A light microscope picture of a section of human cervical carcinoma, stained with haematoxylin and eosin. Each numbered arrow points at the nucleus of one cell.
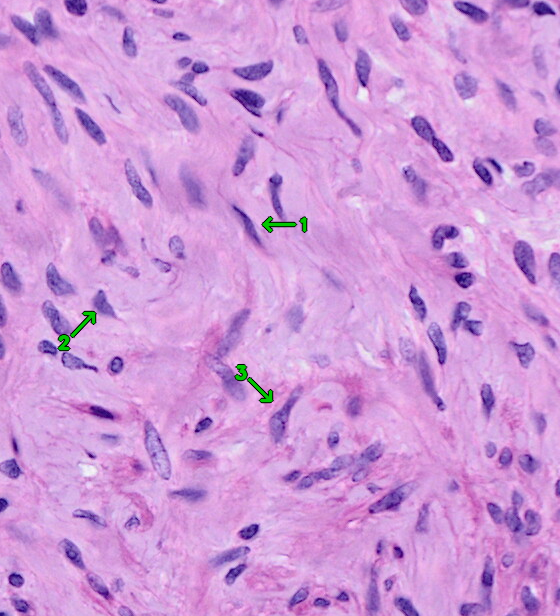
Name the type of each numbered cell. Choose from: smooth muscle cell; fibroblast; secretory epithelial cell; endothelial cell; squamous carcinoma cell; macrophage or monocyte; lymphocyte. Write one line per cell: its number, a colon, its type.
1: fibroblast
2: fibroblast
3: smooth muscle cell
